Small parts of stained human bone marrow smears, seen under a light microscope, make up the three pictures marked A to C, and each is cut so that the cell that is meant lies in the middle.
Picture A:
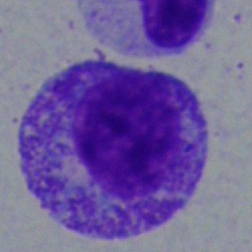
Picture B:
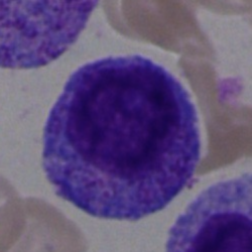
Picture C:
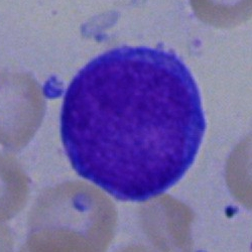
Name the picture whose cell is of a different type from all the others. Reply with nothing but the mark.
C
